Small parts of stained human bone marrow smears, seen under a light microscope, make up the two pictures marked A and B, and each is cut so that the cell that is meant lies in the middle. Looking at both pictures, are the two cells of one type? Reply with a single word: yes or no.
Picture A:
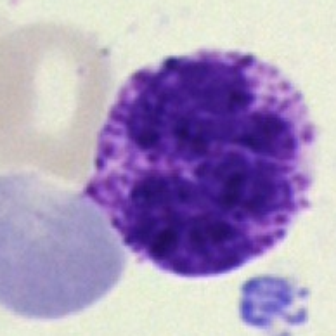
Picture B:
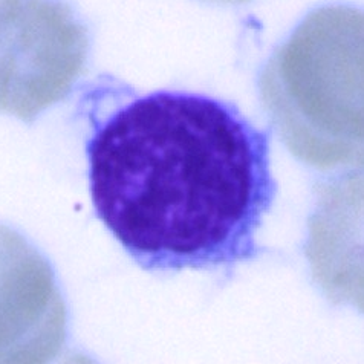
no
